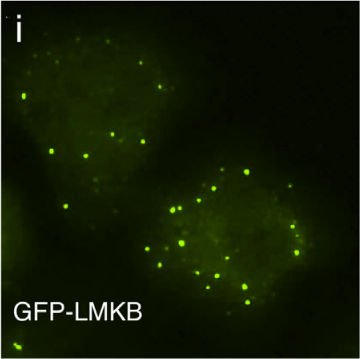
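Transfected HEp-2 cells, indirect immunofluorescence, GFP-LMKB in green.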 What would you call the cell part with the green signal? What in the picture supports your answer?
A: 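Small, sharp green dots scattered around the cell. A faint diffuse green tone outlines the cells.
Hence: discrete, dot-like structures in the cytoplasm.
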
